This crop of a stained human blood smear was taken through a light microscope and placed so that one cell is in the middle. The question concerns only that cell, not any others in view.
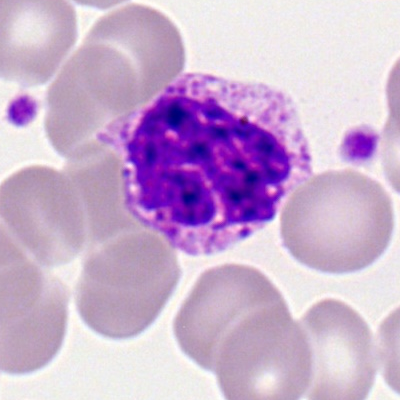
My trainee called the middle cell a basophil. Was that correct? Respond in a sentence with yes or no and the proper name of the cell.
Yes, the cell of interest in the centre is a basophil.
